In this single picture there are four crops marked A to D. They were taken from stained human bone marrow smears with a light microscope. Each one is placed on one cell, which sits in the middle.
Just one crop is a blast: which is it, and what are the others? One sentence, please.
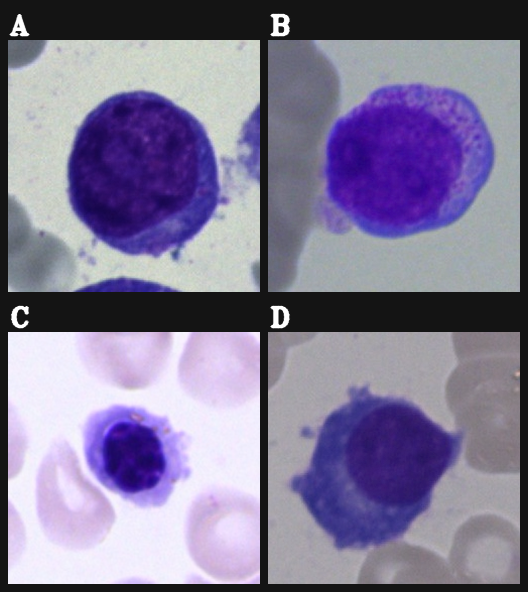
Crop A is to be called a blast, while crop B is a promyelocyte, crop C is an erythroblast and crop D is a plasma cell.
